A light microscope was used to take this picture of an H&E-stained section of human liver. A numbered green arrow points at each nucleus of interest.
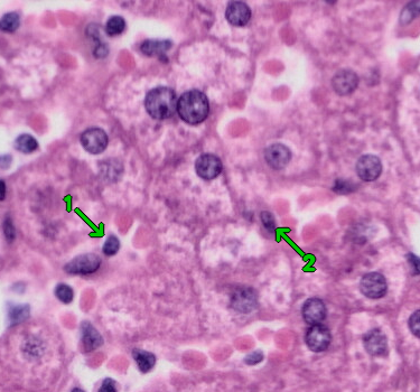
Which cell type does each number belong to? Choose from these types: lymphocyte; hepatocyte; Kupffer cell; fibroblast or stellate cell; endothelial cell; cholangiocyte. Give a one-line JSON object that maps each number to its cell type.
{"1": "lymphocyte", "2": "Kupffer cell"}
